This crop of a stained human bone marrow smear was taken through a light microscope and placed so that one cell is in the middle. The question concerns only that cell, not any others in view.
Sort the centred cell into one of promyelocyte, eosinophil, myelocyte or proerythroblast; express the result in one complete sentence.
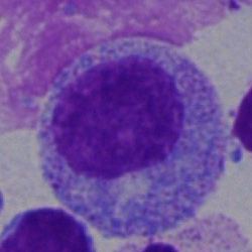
In the middle of this smear crop is a promyelocyte.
